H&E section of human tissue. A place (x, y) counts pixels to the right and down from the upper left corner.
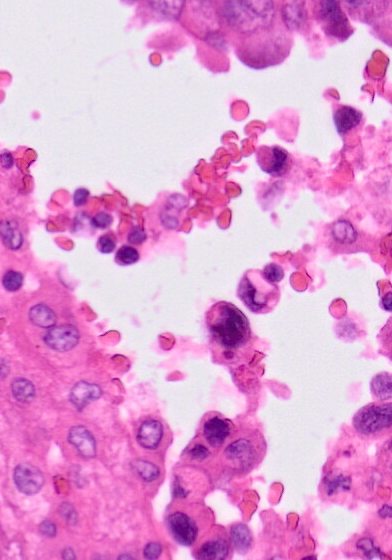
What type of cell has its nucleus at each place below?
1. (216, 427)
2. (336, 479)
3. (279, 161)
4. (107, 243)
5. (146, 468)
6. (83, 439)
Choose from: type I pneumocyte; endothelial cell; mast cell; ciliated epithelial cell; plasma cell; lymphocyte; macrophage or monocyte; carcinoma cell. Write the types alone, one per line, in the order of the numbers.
carcinoma cell
macrophage or monocyte
macrophage or monocyte
lymphocyte
macrophage or monocyte
macrophage or monocyte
